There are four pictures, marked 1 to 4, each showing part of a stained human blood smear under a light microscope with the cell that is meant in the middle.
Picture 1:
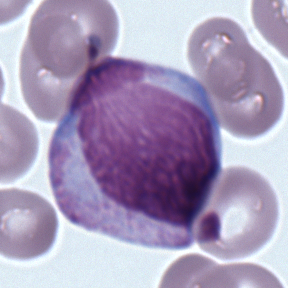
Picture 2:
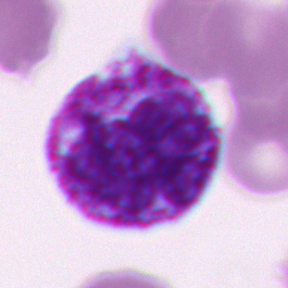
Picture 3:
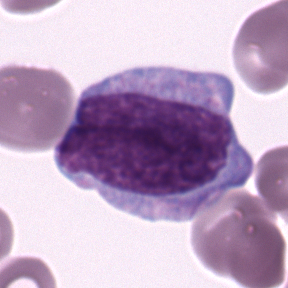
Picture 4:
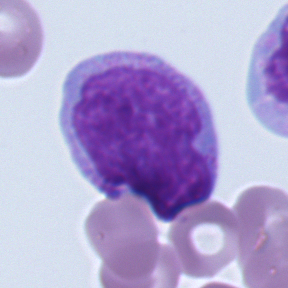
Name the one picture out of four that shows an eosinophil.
2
